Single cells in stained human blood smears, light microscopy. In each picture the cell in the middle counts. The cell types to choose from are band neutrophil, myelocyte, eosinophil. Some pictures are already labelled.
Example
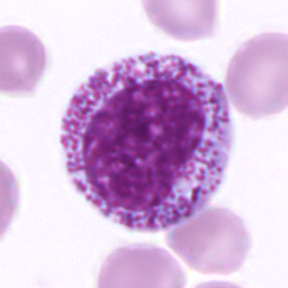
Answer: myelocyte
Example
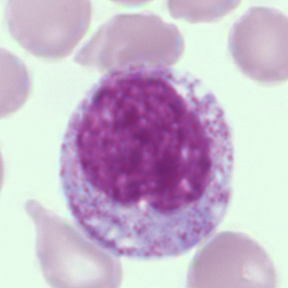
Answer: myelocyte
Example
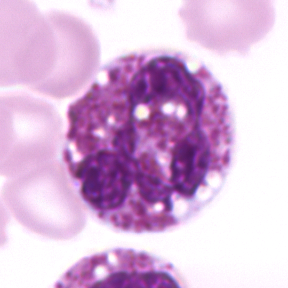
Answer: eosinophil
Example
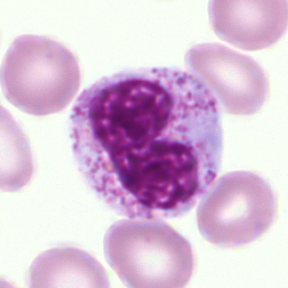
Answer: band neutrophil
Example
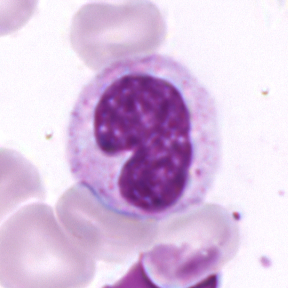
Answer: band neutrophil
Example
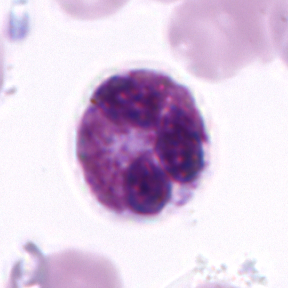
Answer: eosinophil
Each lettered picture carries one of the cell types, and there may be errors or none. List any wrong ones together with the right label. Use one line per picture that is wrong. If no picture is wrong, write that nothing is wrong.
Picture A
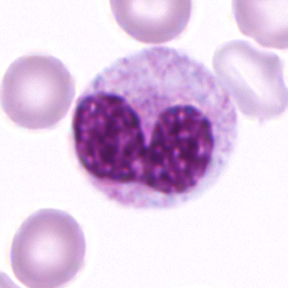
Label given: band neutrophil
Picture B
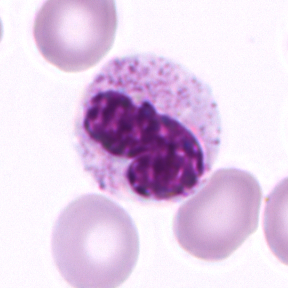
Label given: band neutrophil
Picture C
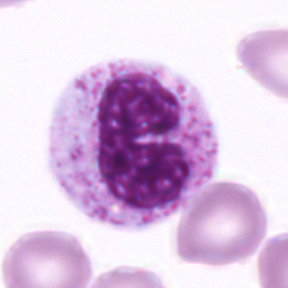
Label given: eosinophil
C: not eosinophil but band neutrophil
